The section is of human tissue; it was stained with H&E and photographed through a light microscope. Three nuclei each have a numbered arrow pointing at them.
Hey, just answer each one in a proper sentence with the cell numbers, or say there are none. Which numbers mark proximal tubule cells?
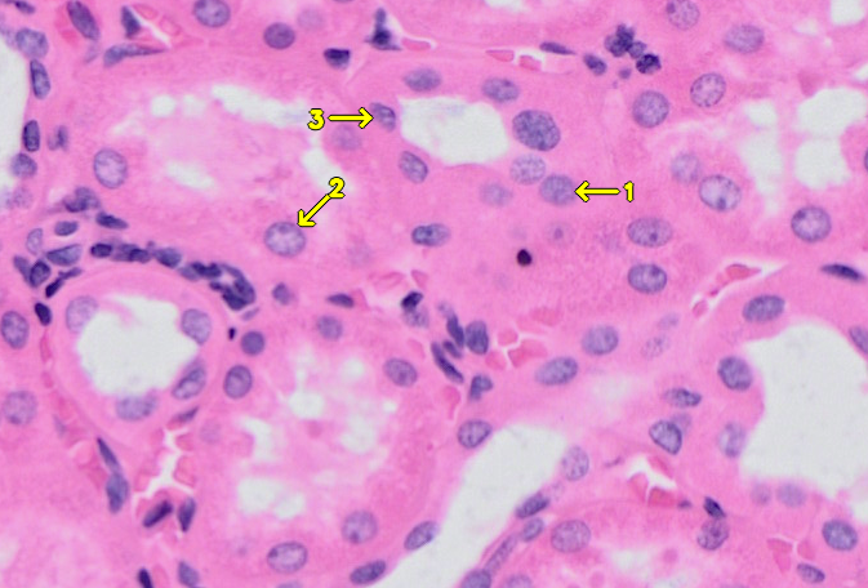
Cell 2 is a proximal tubule cell; the remaining numbered cells are not.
